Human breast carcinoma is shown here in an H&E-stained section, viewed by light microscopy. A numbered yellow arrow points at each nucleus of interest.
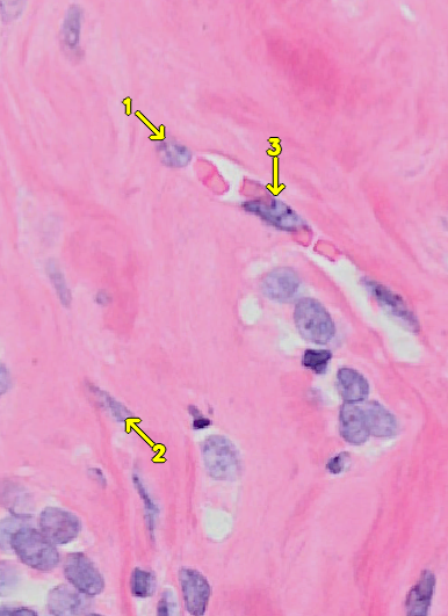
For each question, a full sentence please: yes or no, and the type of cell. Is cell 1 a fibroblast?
No, number 1 is assigned to an endothelial cell, not to a fibroblast.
